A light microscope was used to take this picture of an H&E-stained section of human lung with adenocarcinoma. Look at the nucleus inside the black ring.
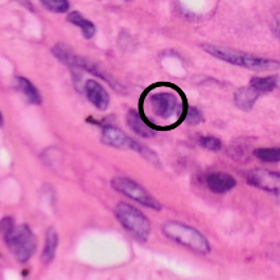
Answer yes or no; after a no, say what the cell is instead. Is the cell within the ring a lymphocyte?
Yes.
